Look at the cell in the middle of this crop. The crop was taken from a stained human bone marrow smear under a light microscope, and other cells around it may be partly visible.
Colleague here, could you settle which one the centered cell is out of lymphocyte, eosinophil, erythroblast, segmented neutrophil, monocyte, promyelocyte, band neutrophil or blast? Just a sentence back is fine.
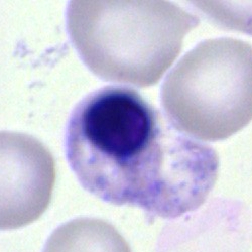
The identification for the central cell is an erythroblast.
